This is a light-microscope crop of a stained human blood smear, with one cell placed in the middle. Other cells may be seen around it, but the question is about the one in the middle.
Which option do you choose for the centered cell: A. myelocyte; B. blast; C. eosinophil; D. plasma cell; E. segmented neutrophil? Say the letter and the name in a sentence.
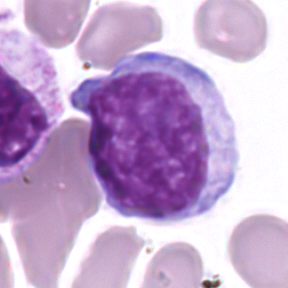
The correct choice is option D, which identifies the middle cell as a plasma cell.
